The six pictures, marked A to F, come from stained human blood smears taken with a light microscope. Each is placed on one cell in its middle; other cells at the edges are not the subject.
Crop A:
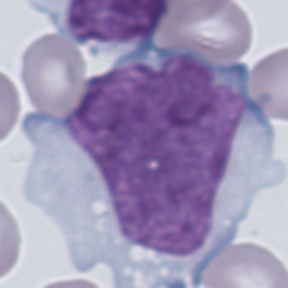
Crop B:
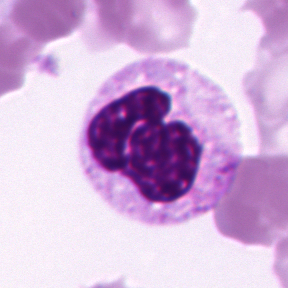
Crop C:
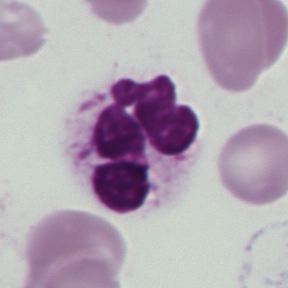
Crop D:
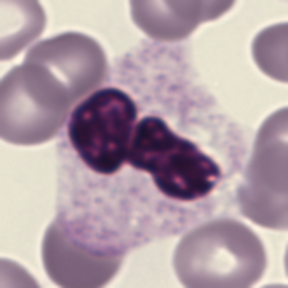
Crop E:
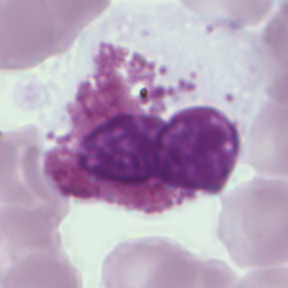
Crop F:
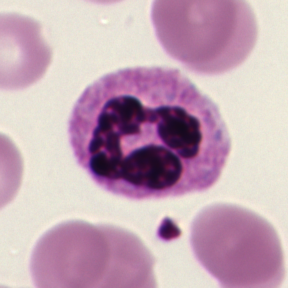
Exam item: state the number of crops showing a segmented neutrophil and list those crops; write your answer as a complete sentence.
In this group, four crops have segmented neutrophils: B, C, D and F.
